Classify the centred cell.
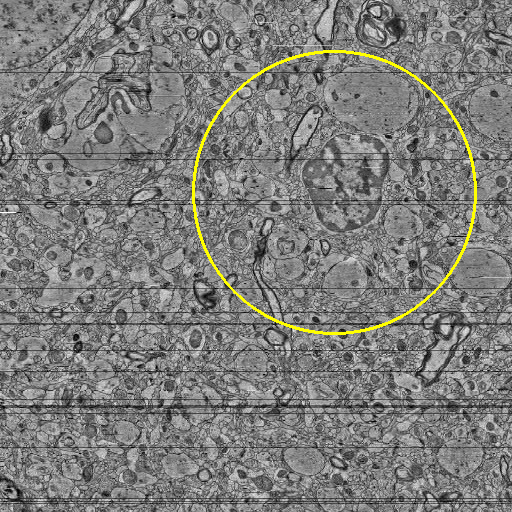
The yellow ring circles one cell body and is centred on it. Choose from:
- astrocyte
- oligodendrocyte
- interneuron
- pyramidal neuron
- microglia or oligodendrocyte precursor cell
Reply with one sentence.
The ring is centred on a microglial cell or oligodendrocyte precursor cell.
